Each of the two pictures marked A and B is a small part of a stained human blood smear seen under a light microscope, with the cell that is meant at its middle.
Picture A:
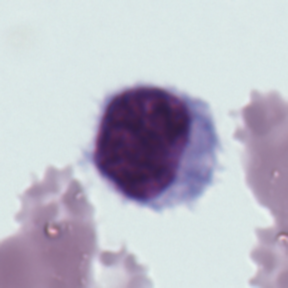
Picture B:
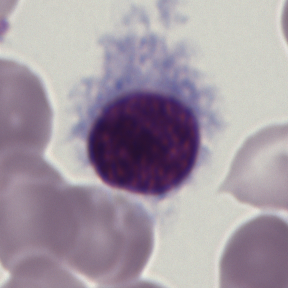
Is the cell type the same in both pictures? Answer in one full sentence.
Yes, both cells are hairy cells.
